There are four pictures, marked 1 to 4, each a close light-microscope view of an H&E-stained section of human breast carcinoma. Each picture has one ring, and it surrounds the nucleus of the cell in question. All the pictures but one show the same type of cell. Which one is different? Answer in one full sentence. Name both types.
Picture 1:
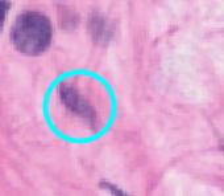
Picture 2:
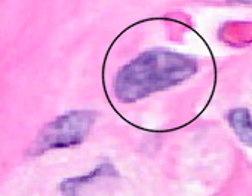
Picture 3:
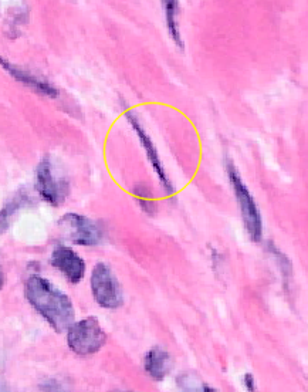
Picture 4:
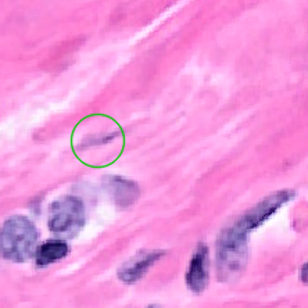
The different one is picture 2; it shows an endothelial cell, whereas all the others show fibroblasts.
